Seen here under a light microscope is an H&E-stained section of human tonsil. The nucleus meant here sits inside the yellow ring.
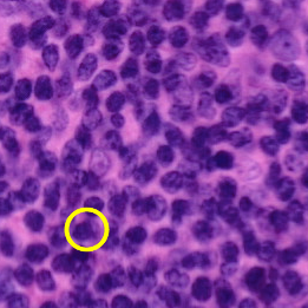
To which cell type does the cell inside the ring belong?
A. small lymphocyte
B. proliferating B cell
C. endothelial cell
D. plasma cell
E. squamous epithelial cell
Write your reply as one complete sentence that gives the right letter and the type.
The correct option is A, as the cell inside the ring is a small lymphocyte.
